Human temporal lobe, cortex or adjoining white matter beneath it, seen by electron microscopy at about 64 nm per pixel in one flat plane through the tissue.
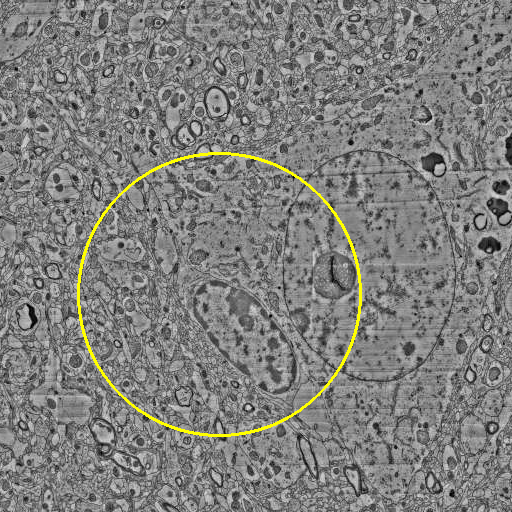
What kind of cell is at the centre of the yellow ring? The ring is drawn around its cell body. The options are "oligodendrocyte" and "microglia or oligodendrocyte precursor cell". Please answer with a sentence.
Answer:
The yellow ring marks the cell body of a microglial cell or oligodendrocyte precursor cell.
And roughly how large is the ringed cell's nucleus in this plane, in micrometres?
The nucleus comes to approximately 9 by 4 micrometres and is clearly longer than it is wide in this plane.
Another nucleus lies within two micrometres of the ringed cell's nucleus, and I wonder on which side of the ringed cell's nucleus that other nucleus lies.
The other nucleus lies to the right of it in the picture.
